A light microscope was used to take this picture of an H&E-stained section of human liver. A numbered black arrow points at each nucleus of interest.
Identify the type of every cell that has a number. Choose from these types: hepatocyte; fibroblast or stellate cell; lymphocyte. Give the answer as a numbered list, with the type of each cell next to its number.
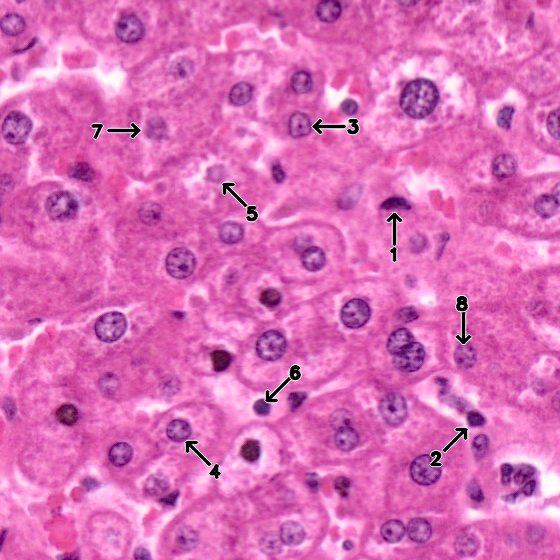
1. fibroblast or stellate cell
2. lymphocyte
3. hepatocyte
4. hepatocyte
5. hepatocyte
6. lymphocyte
7. hepatocyte
8. hepatocyte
